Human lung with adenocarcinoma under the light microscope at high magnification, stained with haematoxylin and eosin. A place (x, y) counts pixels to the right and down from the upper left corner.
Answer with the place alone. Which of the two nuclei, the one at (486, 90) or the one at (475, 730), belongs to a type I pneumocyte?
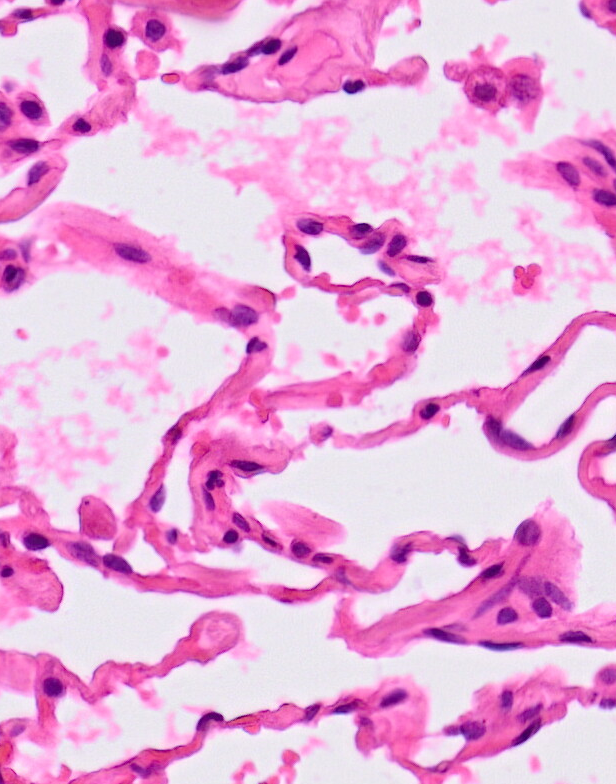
(475, 730)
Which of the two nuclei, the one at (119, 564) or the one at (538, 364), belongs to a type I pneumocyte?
(119, 564)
